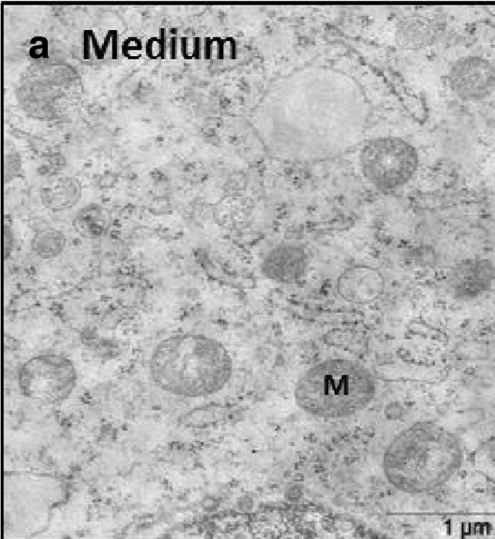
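This electron micrograph shows the cytoplasm of a cell with several mitochondria. The mitochondria are round to oval, moderately dense, with inner folds visible inside them. Between them lie many small membrane-bound vesicles and strands of membrane. Fine dark granules are scattered through the cytoplasm. No very dense black particle clusters are seen within the vesicles.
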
